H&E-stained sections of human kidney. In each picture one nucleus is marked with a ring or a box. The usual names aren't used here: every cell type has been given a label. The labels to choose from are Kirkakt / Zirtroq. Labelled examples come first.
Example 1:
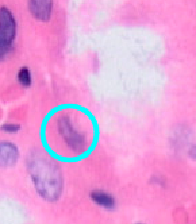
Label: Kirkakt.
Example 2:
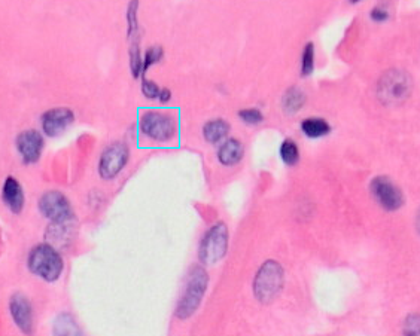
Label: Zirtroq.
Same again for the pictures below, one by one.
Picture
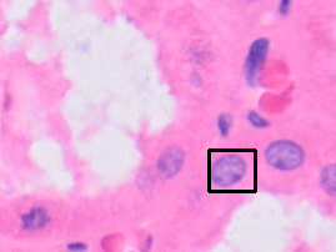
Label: Kirkakt.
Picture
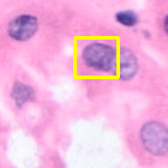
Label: Kirkakt.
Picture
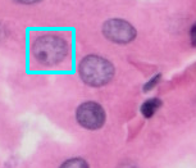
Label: Kirkakt.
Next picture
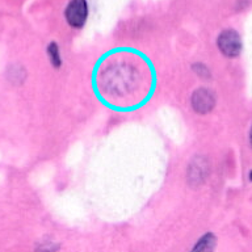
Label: Kirkakt.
